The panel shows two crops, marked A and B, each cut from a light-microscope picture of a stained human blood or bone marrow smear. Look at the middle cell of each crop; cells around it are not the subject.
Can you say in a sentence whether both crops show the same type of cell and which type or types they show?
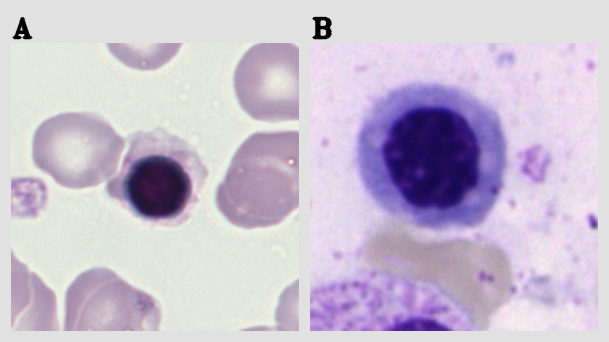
Yes, both of the crops in this pair show erythroblasts, one cell in each crop.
